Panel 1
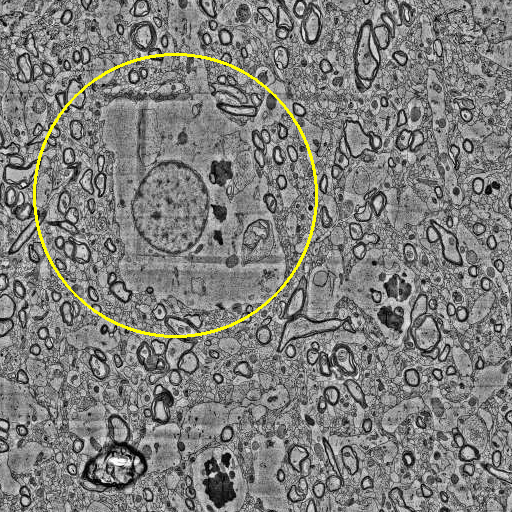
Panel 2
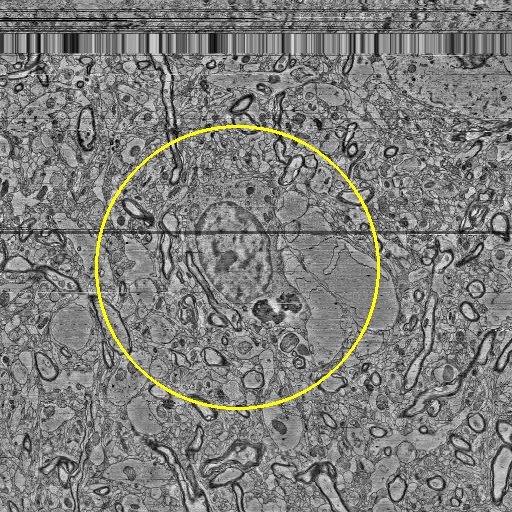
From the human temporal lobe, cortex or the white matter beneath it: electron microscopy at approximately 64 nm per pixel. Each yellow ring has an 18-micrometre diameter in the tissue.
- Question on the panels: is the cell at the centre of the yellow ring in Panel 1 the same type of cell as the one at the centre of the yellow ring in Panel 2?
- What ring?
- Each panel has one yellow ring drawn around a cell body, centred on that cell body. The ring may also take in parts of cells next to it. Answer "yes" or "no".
no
